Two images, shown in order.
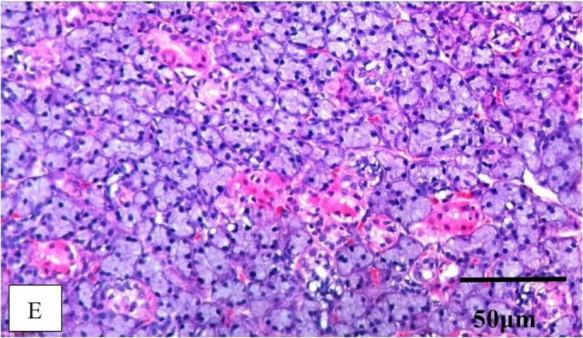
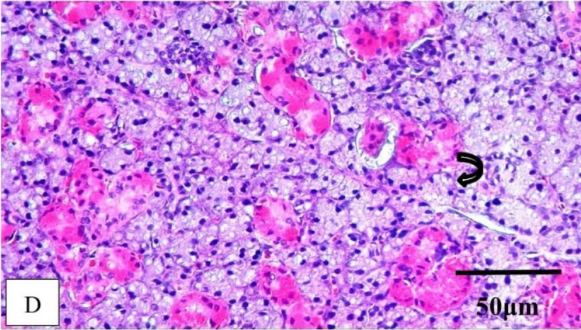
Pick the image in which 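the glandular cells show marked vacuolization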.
The second image.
